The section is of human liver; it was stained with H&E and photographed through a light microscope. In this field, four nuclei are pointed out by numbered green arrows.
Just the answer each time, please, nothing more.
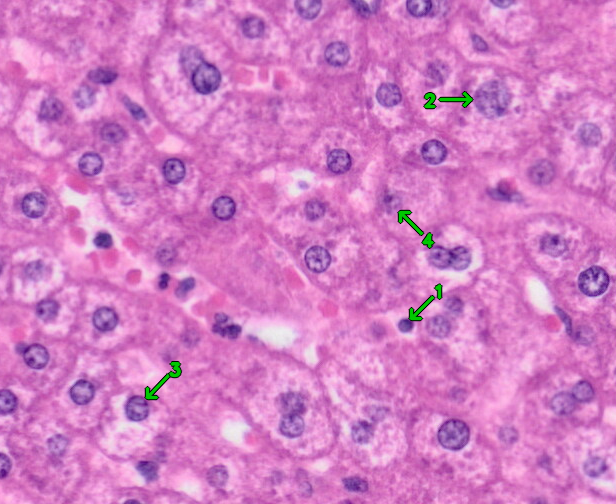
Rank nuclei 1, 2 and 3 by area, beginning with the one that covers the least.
1, 3, 2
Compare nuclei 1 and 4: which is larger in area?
4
